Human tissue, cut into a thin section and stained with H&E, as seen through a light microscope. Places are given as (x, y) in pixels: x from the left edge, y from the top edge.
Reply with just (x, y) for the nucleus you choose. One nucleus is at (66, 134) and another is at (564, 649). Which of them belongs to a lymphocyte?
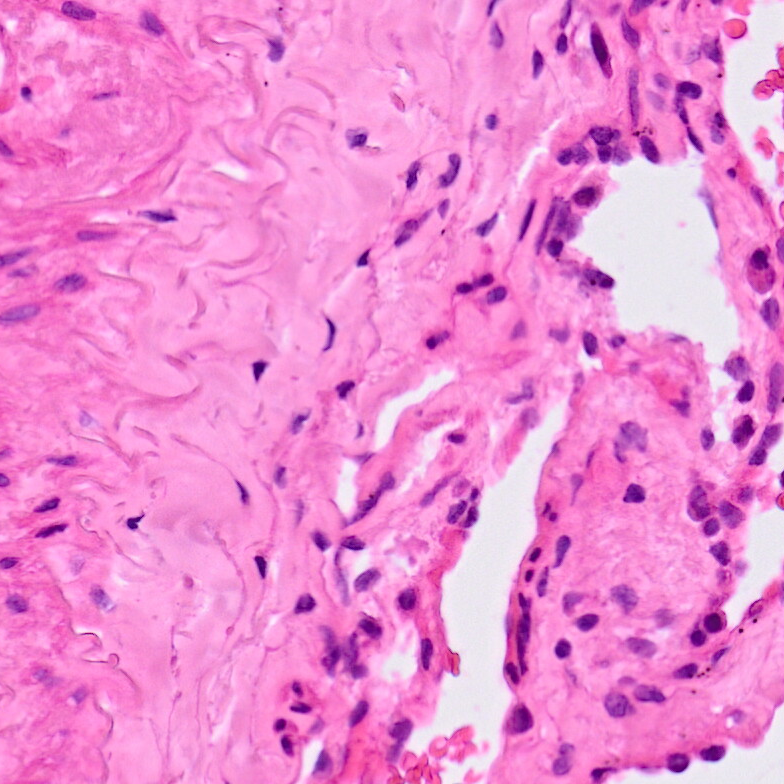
(564, 649)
